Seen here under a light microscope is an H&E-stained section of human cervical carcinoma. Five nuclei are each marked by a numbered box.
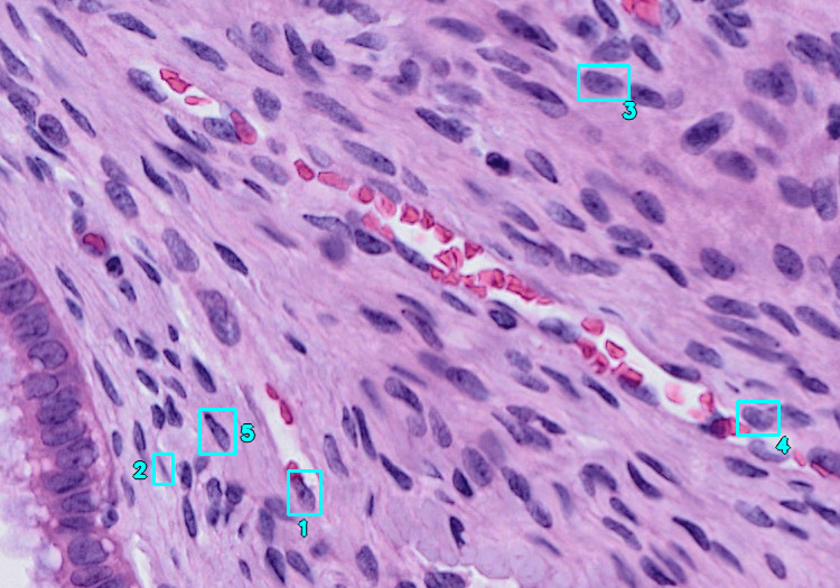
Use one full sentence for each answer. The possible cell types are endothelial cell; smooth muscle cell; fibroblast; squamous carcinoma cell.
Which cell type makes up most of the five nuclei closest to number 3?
Fibroblasts make up most of the five nuclei closest to number 3.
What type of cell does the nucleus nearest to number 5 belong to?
The nearest nucleus to number 5 belongs to a fibroblast.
